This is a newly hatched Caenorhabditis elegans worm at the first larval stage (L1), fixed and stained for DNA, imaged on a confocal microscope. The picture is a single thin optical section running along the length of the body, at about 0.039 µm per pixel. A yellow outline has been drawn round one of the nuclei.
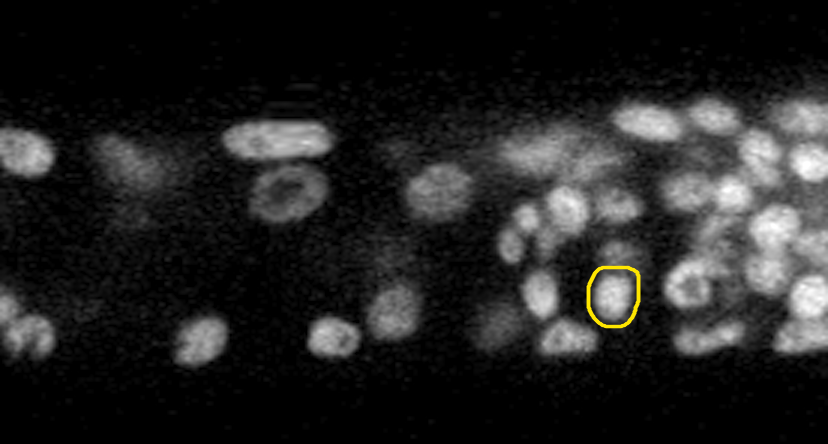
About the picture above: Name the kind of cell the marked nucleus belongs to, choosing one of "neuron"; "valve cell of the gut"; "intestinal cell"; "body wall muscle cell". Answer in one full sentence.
The marked nucleus belongs to a neuron.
